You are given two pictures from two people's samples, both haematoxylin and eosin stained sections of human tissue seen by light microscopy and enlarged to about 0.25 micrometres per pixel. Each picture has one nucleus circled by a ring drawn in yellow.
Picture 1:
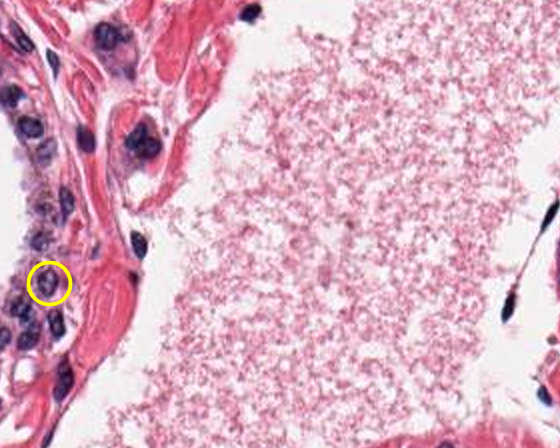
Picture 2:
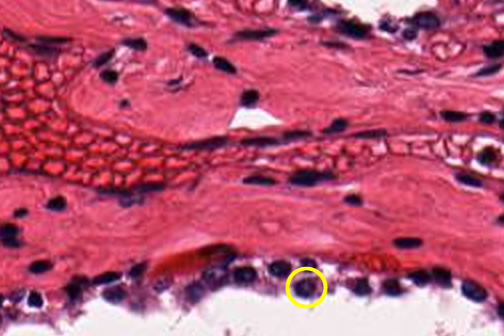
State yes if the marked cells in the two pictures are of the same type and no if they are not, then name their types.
Yes, both are thyroid follicular cells.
